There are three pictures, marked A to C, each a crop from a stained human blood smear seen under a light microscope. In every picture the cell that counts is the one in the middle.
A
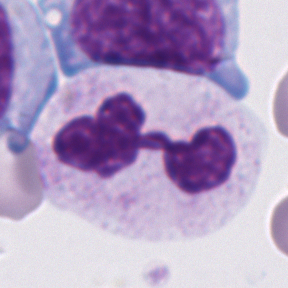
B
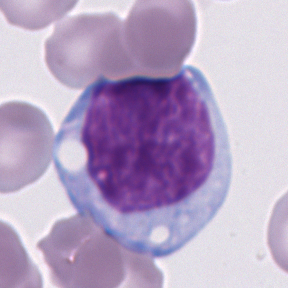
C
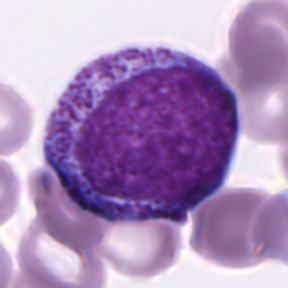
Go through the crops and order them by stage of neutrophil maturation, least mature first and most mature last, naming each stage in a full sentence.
Along the maturation pathway, from earliest to latest, the order is crop B (a blast), crop C (a promyelocyte) and crop A (a neutrophil).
